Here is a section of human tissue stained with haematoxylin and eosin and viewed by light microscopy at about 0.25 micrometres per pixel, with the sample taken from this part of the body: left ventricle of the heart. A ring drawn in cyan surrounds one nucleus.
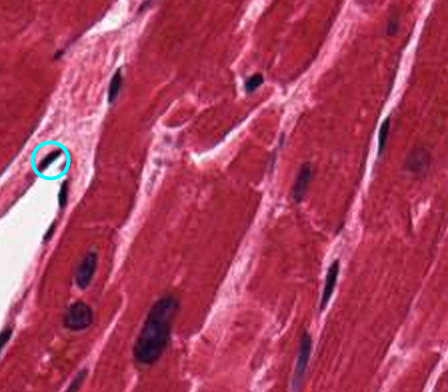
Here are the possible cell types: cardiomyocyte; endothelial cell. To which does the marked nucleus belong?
endothelial cell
